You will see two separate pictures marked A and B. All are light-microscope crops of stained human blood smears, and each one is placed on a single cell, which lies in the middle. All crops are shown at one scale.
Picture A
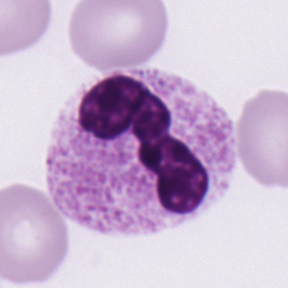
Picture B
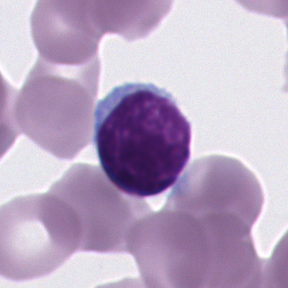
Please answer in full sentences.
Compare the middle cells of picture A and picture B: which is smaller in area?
The cell in picture B is smaller; the one in picture A has about 2.5 times its area.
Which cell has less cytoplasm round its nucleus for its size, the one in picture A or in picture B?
The nucleus fills more of the cell in picture B than in picture A.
